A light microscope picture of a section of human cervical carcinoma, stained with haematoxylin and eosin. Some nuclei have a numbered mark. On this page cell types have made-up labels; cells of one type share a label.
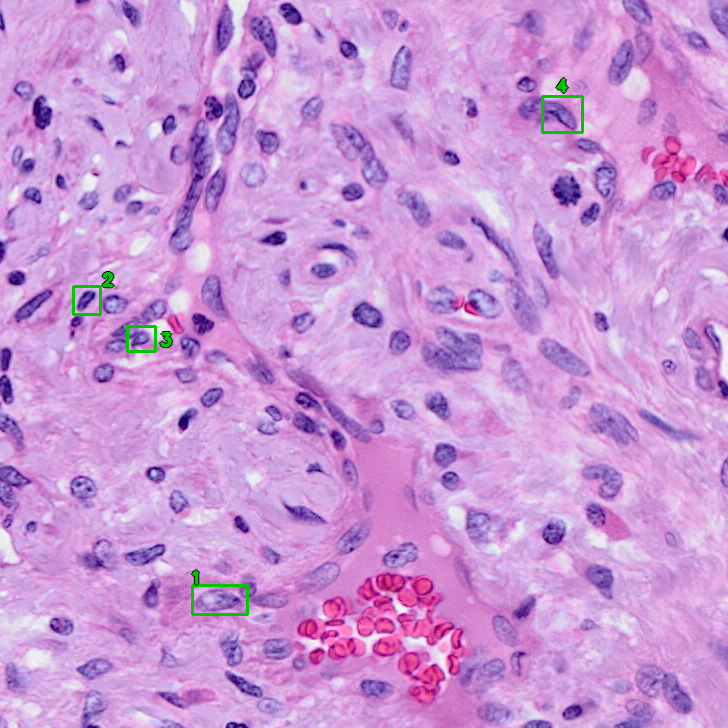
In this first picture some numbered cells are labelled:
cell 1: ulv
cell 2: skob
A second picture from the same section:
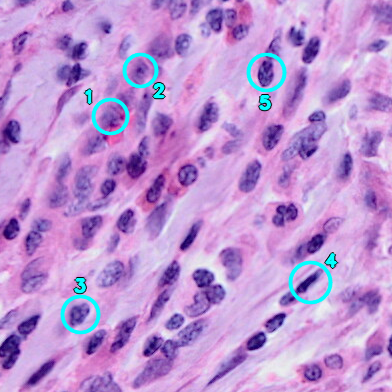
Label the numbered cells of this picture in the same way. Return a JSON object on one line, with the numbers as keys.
{"1": "ulv", "2": "ulv", "3": "skob", "4": "skob", "5": "skob"}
